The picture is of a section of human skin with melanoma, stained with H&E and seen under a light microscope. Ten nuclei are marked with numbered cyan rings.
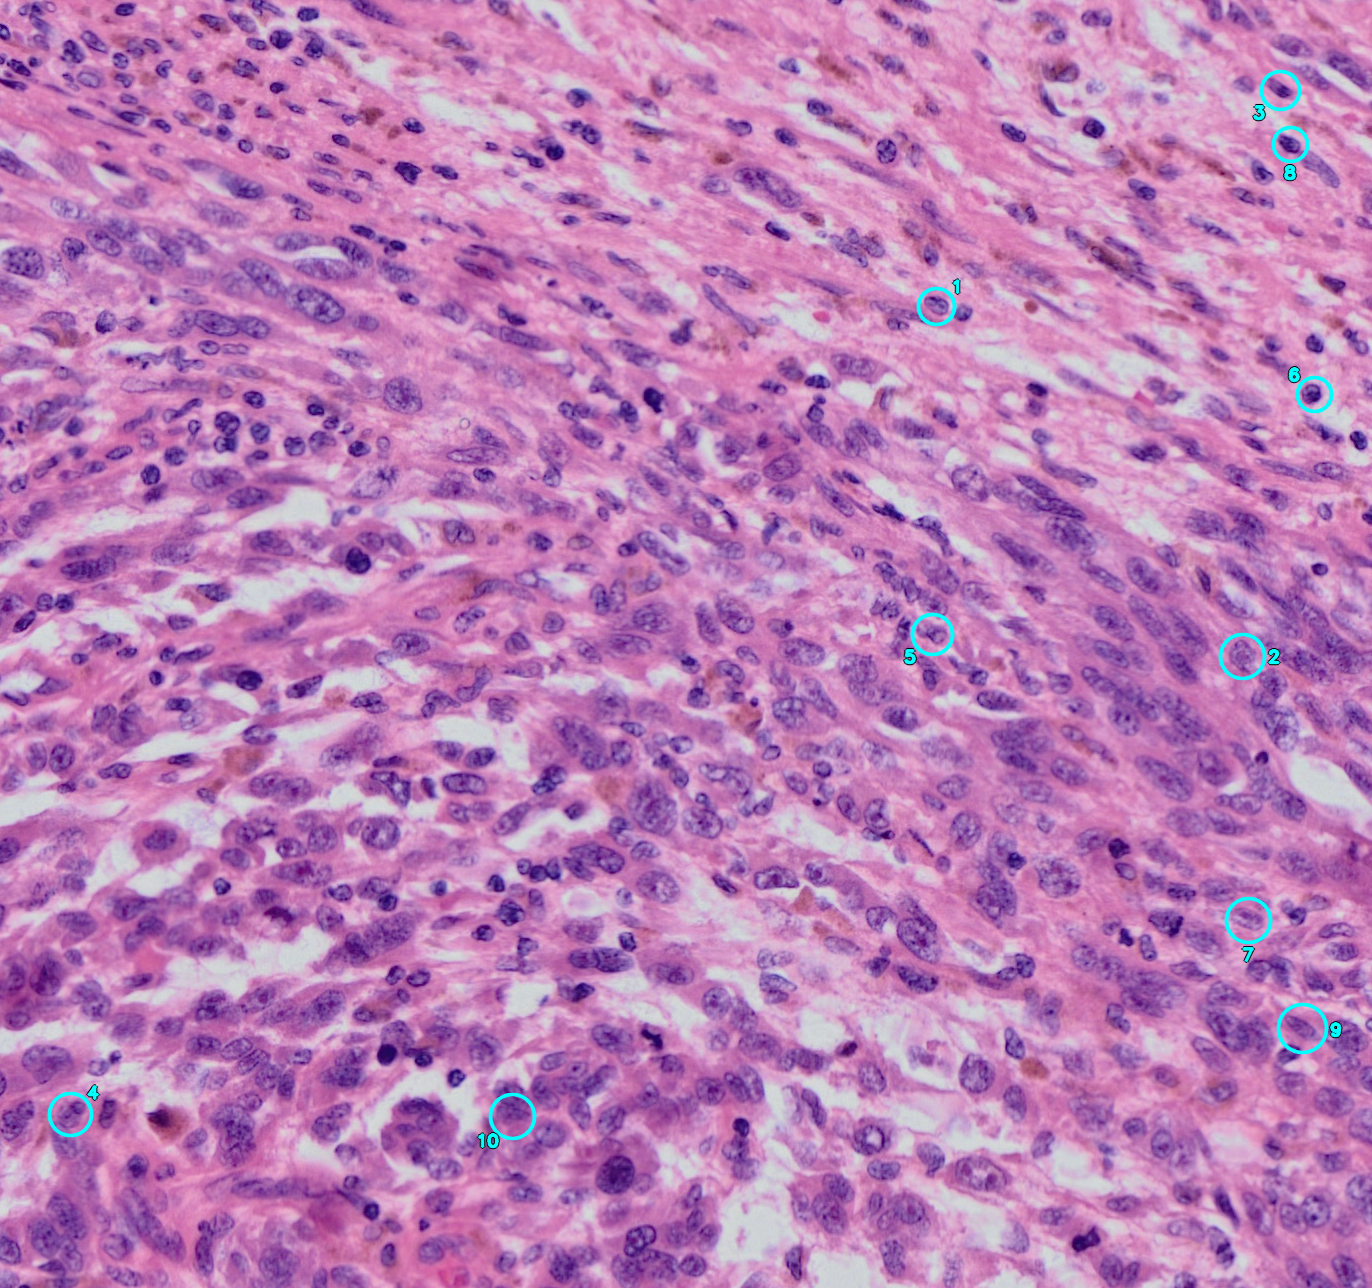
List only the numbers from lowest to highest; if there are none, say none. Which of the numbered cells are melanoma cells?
2, 4, 5, 7, 9, 10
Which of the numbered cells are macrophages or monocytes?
none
